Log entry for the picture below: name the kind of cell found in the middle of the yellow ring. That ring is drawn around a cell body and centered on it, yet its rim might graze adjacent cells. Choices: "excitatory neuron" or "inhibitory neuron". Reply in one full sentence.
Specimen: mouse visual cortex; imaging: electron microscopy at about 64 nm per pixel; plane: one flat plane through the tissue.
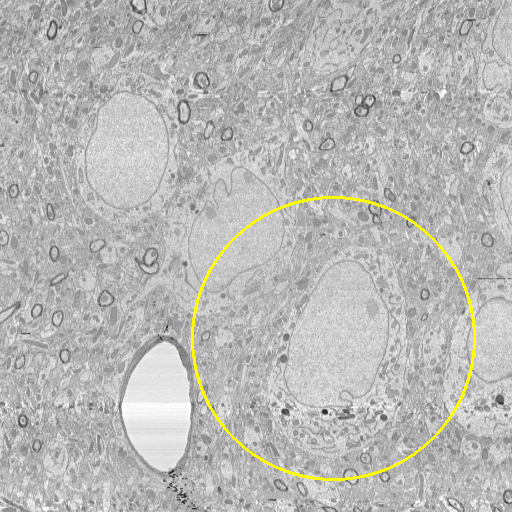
The cell in the middle of the yellow ring in this picture is an inhibitory neuron.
